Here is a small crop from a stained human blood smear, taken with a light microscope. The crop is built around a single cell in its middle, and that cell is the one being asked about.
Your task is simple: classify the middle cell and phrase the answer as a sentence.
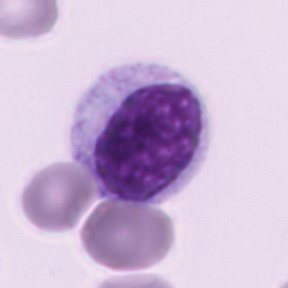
The cell around which this crop is centred is a metamyelocyte.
